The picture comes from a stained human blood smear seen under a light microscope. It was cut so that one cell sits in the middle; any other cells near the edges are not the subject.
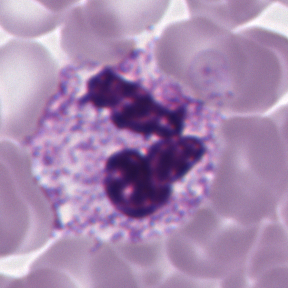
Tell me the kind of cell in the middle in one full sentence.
The cell that lies at the centre of the crop is a segmented neutrophil.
